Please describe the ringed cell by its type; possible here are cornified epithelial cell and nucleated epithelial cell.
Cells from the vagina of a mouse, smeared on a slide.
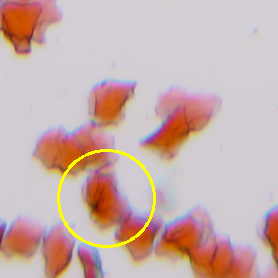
The yellow ring marks a cornified epithelial cell.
